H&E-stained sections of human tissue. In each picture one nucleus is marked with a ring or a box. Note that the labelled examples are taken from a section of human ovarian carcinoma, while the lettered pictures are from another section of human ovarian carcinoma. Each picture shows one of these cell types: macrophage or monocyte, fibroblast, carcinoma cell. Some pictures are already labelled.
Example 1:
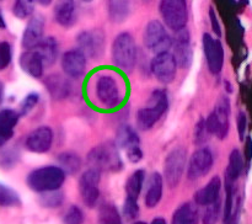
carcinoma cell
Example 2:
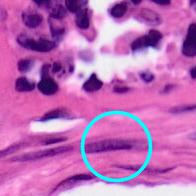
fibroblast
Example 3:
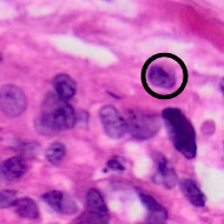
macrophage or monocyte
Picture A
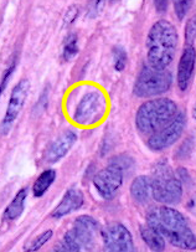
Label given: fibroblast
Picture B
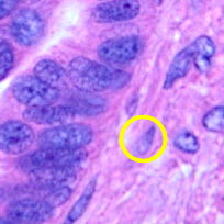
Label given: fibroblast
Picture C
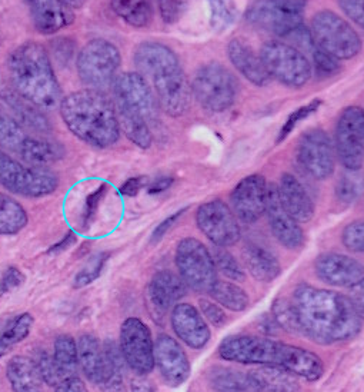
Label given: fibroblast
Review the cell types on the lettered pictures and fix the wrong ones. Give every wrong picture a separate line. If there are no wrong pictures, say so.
No label is wrong.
